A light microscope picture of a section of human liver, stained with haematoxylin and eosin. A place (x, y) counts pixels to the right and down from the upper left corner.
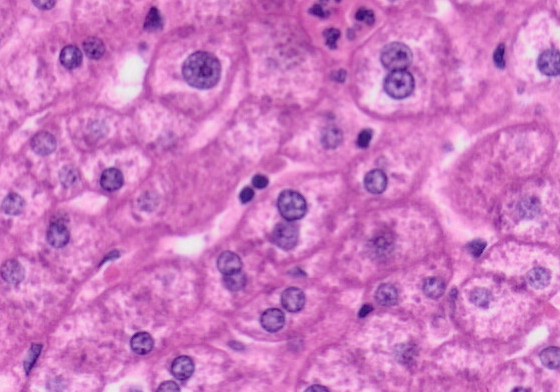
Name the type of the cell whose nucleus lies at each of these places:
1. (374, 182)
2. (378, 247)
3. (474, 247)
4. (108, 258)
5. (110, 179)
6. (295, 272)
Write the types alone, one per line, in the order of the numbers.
hepatocyte
hepatocyte
endothelial cell
endothelial cell
hepatocyte
endothelial cell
